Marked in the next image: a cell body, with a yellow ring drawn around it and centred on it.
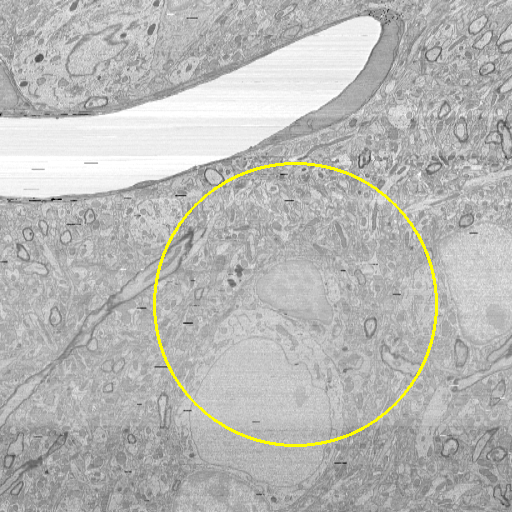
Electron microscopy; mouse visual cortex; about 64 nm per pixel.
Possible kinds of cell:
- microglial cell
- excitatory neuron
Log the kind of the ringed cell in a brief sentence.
The ringed cell body is that of a microglial cell.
